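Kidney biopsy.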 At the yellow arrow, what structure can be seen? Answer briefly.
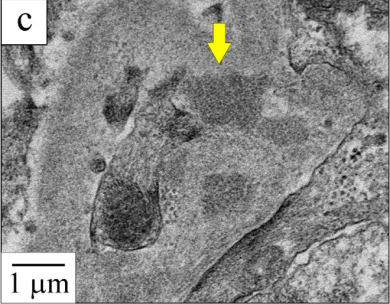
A: electron-dense deposits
